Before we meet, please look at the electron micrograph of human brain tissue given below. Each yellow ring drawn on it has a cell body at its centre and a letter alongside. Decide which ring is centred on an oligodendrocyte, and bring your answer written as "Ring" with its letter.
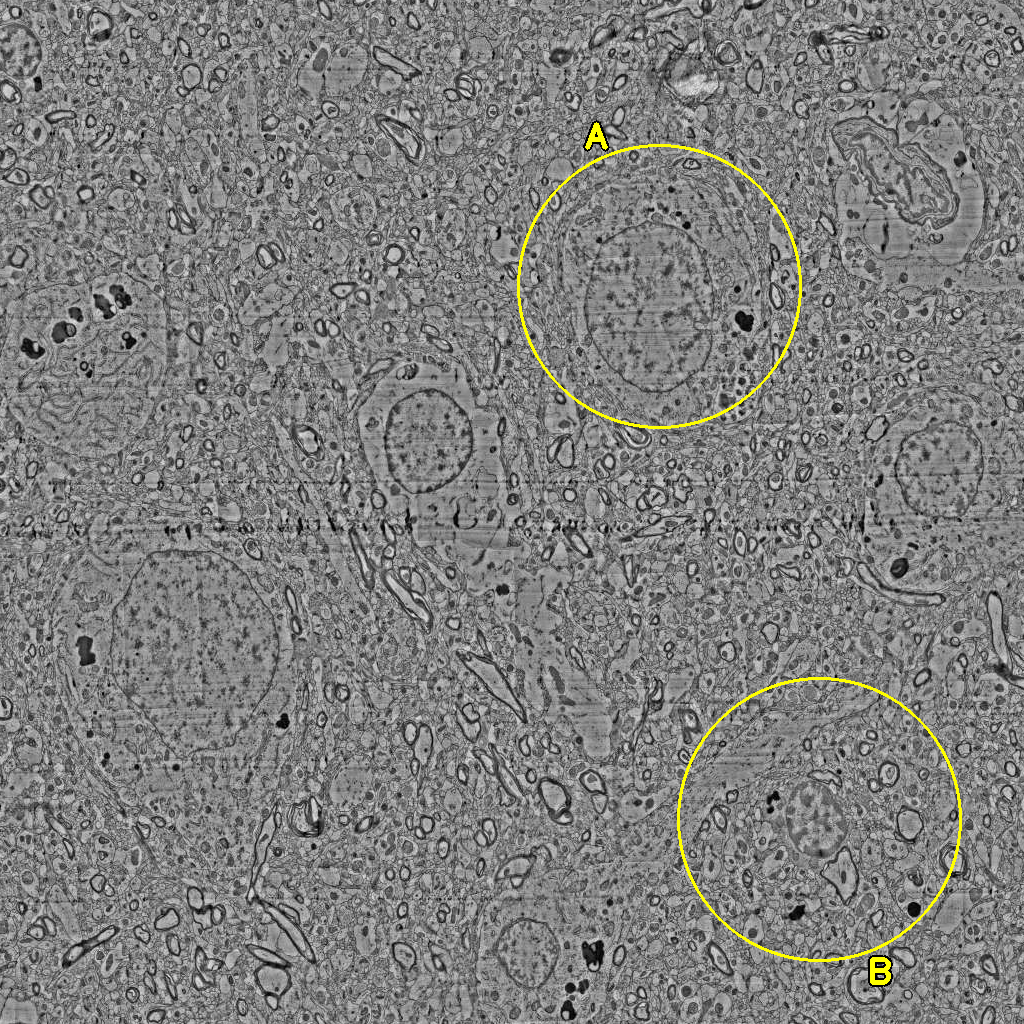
Ring B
